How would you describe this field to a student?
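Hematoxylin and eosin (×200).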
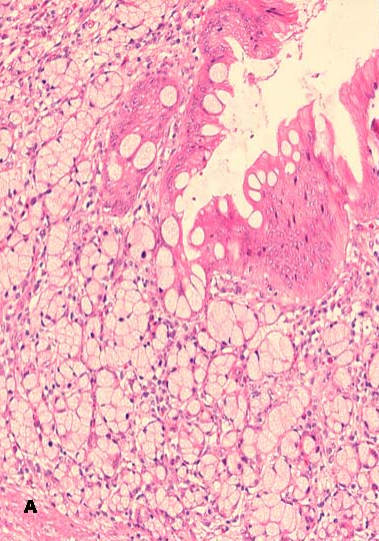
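At the top, a cystic space is lined by tall columnar epithelium packed with goblet-shaped mucin vacuoles, folded into the lumen. Below it, the wall is filled with many small nests of cells whose cytoplasm is clear and mucin-filled, with small nuclei pressed to the side, set in thin pink stroma. This is a mucinous cystic lining overlying an infiltrating goblet cell carcinoid.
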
